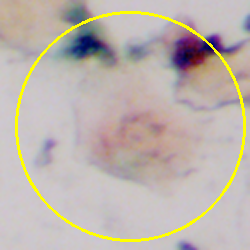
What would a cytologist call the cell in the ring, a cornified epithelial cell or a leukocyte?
A cytologist would call it a cornified epithelial cell.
